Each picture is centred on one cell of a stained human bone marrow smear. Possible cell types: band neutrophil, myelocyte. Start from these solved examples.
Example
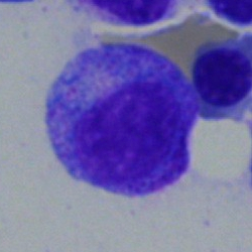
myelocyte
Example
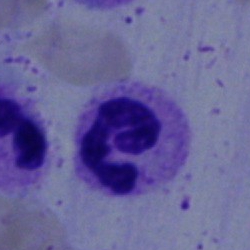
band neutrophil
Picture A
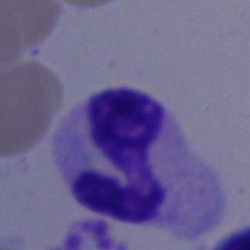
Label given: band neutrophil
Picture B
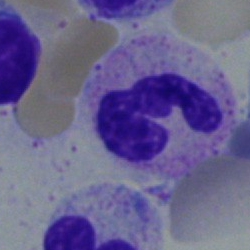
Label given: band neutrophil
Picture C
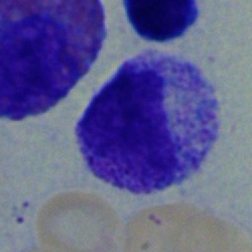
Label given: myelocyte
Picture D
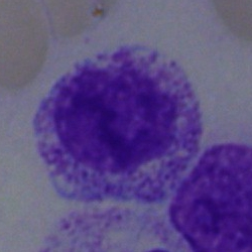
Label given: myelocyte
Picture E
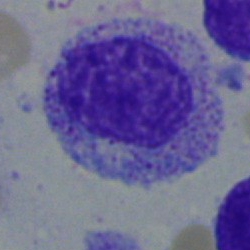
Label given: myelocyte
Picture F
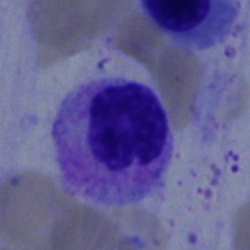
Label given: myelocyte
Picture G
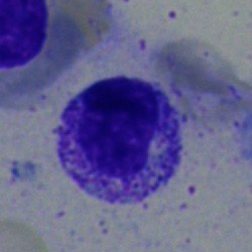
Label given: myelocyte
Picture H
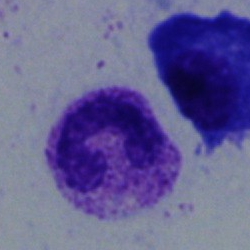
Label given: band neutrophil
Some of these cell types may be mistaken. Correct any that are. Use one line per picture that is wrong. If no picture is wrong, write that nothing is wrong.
F: change myelocyte to band neutrophil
